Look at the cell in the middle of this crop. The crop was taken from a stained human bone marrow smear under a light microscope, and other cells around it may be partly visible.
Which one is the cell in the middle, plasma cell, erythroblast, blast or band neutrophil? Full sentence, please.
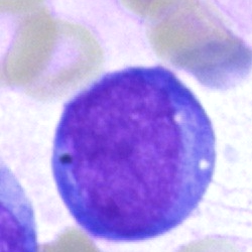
This particular crop is centered on a blast.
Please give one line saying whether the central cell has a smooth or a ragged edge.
No projections interrupt the outline; it is smooth all the way round.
